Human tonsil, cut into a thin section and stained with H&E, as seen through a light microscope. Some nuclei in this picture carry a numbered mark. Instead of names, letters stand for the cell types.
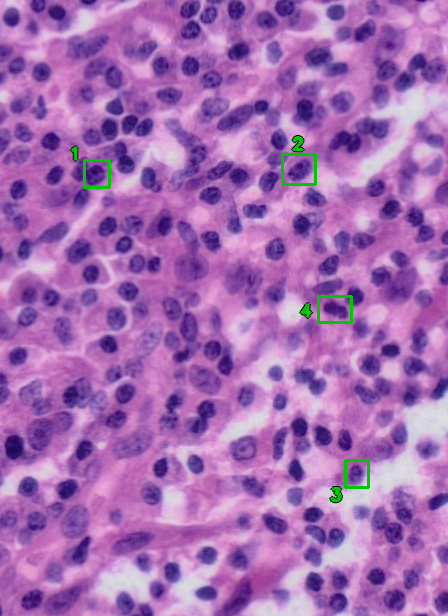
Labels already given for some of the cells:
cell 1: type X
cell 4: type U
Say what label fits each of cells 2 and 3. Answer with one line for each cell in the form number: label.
2: type X
3: type X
